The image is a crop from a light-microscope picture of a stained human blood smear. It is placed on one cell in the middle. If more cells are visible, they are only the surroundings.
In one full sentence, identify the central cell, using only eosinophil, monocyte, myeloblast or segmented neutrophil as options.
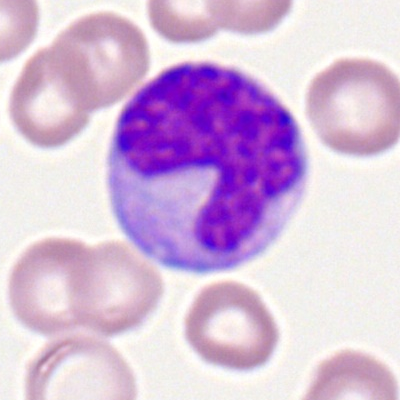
Classified as a monocyte is the cell in the middle of this crop.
